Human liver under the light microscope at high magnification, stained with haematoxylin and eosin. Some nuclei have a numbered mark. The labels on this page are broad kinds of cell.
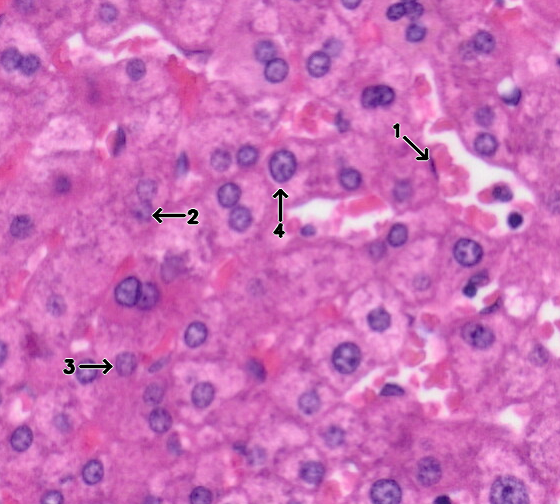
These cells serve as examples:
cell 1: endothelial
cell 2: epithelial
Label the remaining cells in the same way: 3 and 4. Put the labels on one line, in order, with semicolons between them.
epithelial; epithelial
